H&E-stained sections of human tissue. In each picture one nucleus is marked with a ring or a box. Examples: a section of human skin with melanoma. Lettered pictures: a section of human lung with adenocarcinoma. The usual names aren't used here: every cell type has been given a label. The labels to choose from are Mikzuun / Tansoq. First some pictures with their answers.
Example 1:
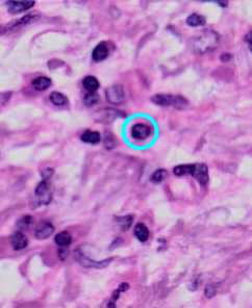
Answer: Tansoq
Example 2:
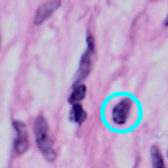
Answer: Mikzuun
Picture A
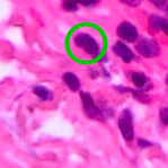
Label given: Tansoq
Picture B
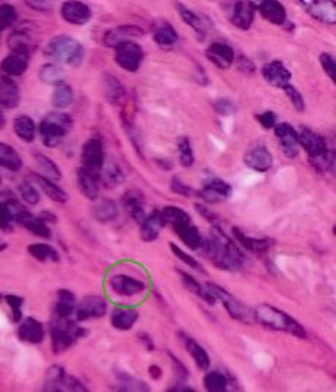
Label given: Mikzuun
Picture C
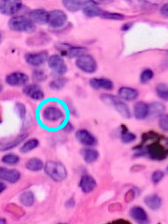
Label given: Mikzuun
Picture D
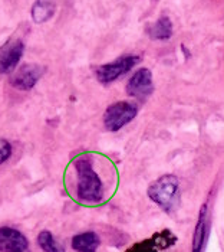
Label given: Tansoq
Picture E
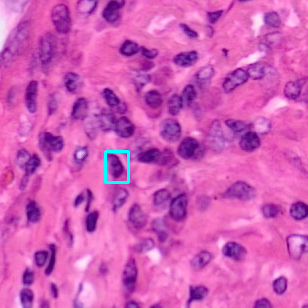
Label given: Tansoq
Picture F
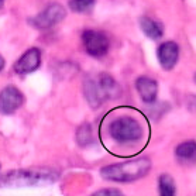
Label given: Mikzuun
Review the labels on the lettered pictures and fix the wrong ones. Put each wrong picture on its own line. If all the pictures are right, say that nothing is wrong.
A should be Mikzuun, not Tansoq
